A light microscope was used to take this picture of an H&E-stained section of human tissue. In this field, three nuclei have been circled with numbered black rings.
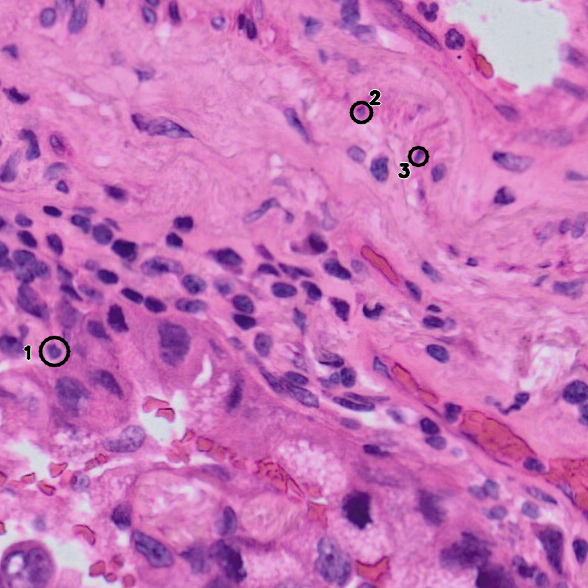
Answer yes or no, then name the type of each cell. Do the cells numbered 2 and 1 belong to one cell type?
No, listen: cell 2 is a smooth muscle cell or pericyte and cell 1 is a lymphocyte.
